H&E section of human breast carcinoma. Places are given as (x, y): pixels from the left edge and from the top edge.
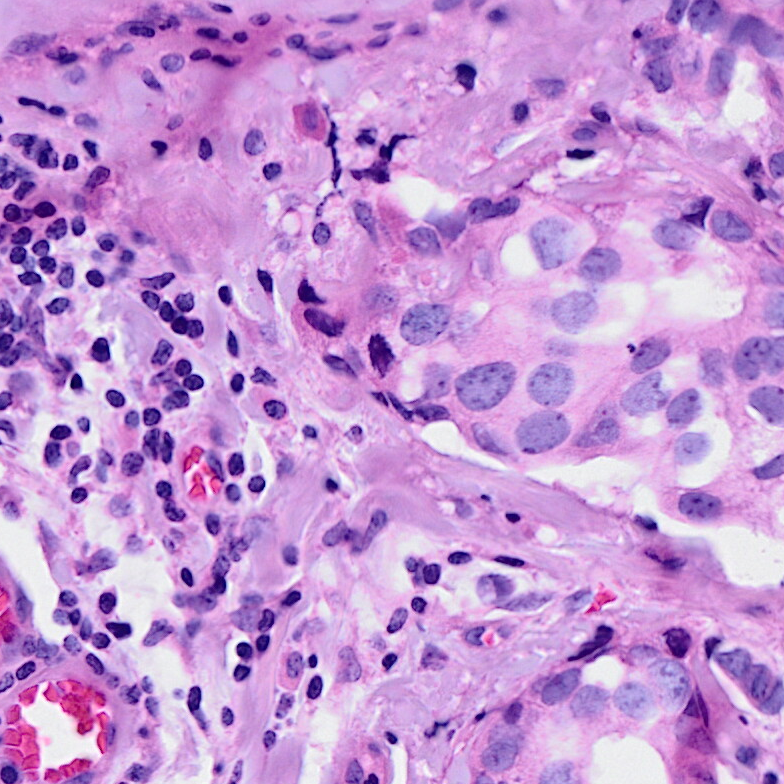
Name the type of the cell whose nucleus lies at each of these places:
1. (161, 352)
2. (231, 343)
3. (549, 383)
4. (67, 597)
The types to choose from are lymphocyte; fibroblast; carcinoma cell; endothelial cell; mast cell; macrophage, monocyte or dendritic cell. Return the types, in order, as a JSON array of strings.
["lymphocyte", "lymphocyte", "carcinoma cell", "lymphocyte"]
